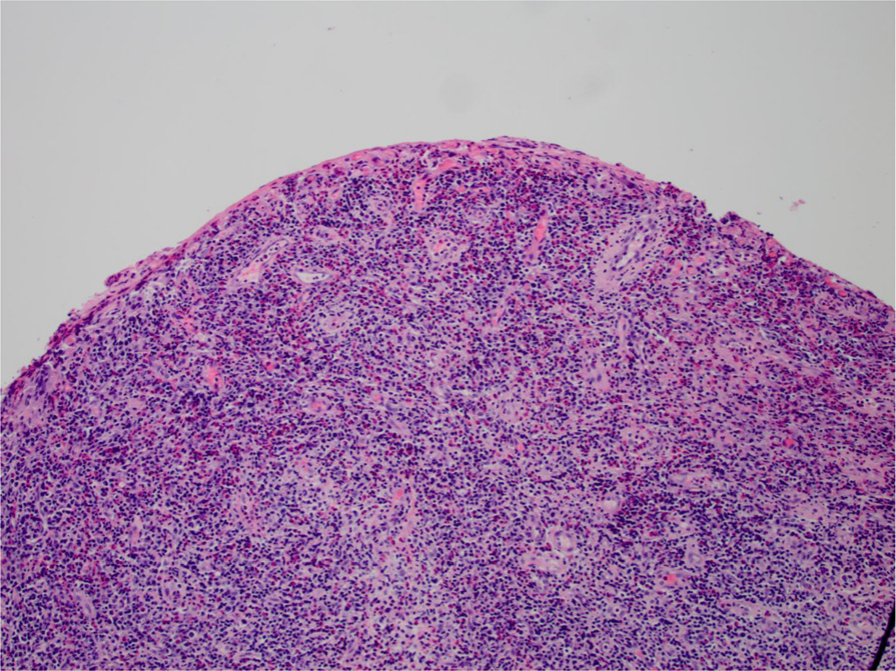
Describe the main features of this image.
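The stroma is heavily infiltrated by a dense population of inflammatory cells, many of them eosinophils with bright pink-red cytoplasm, scattered diffusely among the darker purple nuclei. Small blood vessels with pink walls run through the infiltrate, and a thin surface layer lines the curved top edge of the tissue.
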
